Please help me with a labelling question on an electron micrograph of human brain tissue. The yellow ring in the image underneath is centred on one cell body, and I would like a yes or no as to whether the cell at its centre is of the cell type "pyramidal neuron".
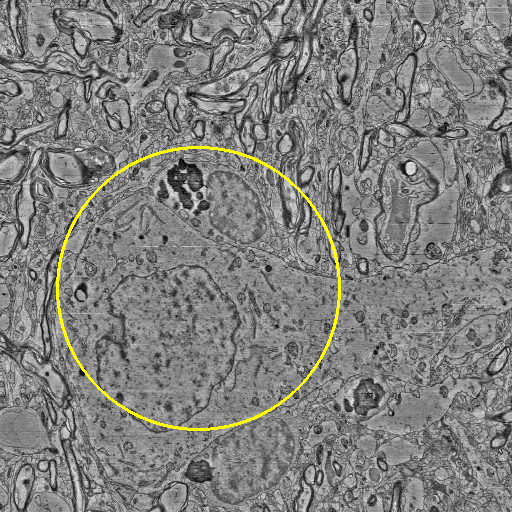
yes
